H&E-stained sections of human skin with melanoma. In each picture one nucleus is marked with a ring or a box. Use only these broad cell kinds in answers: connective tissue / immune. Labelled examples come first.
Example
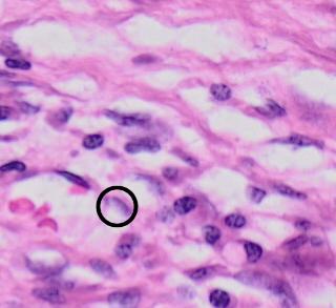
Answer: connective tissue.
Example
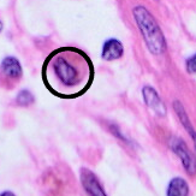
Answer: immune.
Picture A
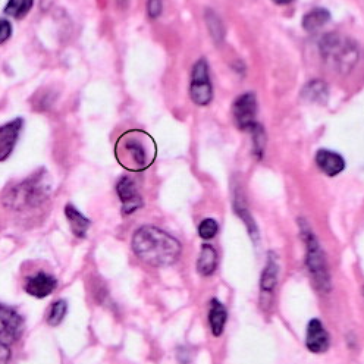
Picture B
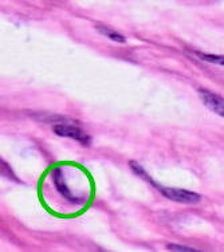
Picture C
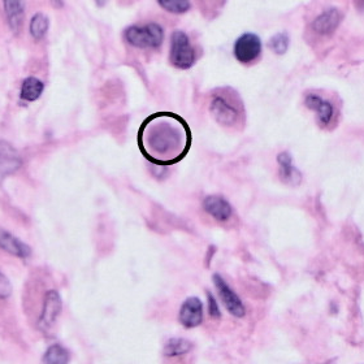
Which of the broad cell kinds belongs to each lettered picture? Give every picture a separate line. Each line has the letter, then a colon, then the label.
A: immune.
B: connective tissue.
C: immune.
